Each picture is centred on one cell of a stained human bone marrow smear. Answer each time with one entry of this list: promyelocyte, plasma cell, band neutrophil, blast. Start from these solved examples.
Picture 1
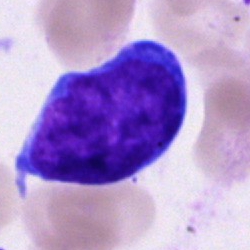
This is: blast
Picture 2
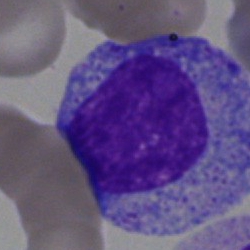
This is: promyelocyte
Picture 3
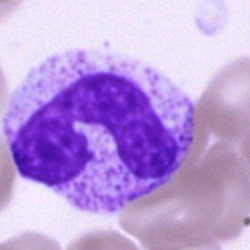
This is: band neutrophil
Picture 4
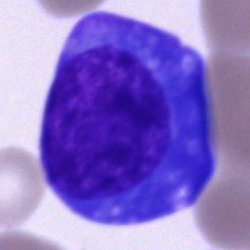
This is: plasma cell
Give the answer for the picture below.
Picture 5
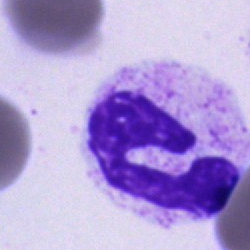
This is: band neutrophil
